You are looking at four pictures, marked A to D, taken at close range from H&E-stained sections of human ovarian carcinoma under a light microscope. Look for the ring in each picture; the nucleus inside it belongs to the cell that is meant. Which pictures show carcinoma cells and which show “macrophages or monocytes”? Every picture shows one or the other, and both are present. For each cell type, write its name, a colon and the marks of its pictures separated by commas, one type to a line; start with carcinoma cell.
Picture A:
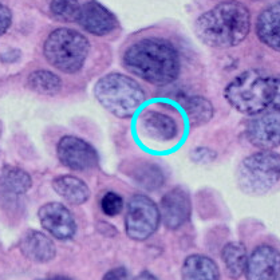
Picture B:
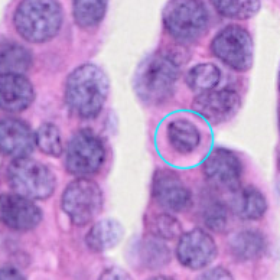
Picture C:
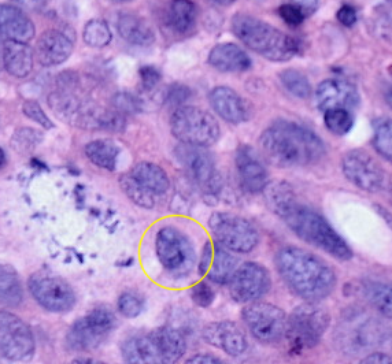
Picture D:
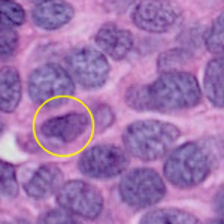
carcinoma cell: A, D
macrophage or monocyte: B, C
